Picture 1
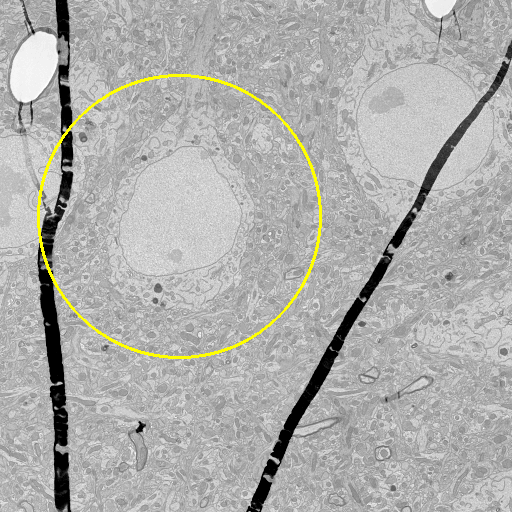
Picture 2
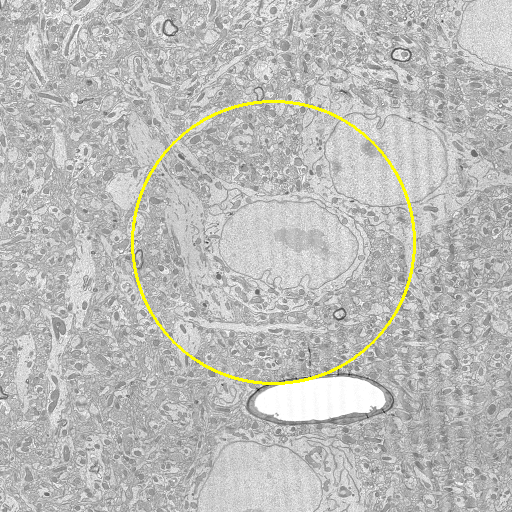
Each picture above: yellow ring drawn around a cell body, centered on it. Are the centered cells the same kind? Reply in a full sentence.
No, the two cells are two kinds of cell.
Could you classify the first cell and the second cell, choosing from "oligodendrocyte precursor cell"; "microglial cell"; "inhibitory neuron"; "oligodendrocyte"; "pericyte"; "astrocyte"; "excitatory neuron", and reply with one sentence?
The second cell is an inhibitory neuron, while the first is an excitatory neuron.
